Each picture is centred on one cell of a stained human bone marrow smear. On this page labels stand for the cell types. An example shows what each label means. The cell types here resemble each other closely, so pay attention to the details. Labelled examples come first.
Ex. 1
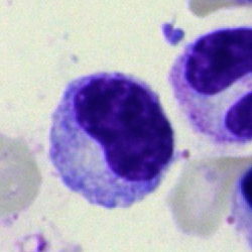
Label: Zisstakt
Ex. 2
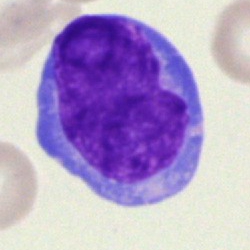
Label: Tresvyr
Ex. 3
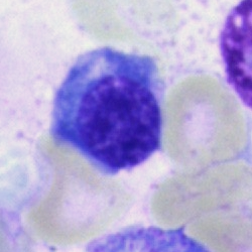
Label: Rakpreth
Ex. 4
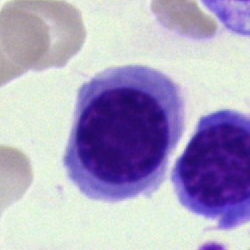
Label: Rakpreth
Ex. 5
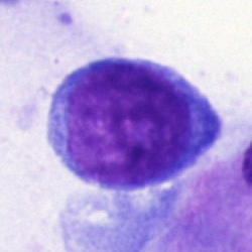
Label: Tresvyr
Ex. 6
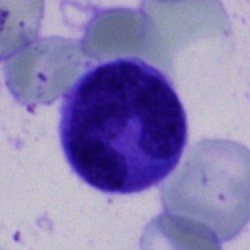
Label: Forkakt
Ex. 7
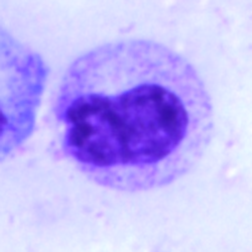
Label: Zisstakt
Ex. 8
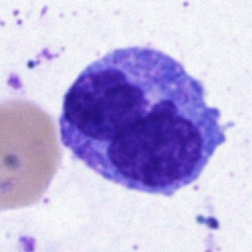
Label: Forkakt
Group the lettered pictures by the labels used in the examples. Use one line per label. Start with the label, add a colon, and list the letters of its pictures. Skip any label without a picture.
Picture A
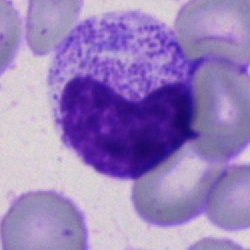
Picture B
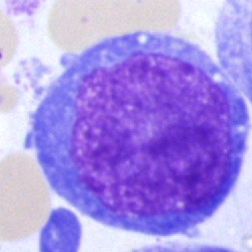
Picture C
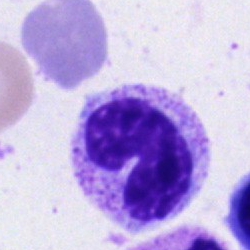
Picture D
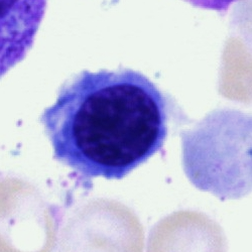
Zisstakt: A, C
Tresvyr: B
Rakpreth: D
